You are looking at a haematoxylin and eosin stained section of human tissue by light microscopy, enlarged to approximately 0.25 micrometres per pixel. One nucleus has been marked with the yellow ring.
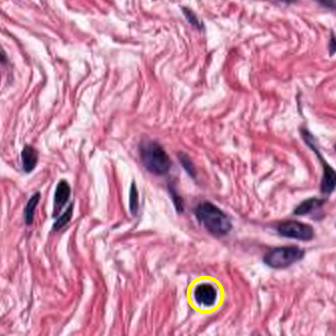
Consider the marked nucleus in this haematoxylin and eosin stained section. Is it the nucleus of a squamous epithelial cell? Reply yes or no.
no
